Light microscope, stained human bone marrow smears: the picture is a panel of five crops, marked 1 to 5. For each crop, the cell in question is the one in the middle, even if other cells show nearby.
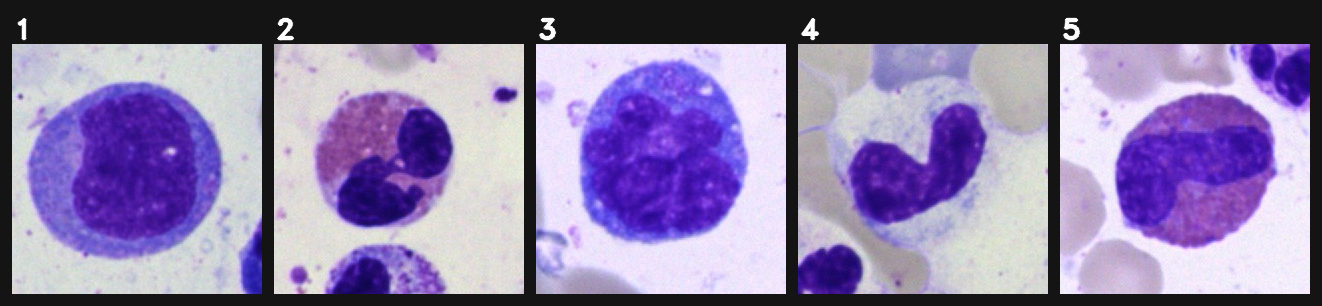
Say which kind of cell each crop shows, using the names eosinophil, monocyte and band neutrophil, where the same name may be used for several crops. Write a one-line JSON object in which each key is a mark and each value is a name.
{"1": "monocyte", "2": "eosinophil", "3": "monocyte", "4": "band neutrophil", "5": "eosinophil"}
